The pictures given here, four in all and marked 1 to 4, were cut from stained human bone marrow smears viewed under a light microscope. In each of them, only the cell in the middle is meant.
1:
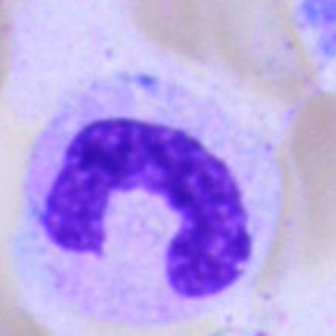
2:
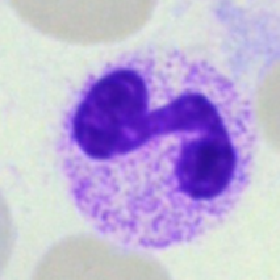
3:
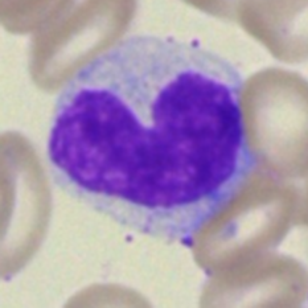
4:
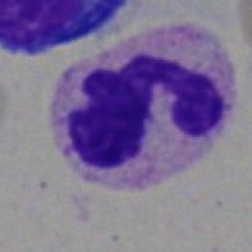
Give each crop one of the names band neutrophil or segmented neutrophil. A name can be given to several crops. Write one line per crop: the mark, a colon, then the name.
1: band neutrophil
2: segmented neutrophil
3: band neutrophil
4: segmented neutrophil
